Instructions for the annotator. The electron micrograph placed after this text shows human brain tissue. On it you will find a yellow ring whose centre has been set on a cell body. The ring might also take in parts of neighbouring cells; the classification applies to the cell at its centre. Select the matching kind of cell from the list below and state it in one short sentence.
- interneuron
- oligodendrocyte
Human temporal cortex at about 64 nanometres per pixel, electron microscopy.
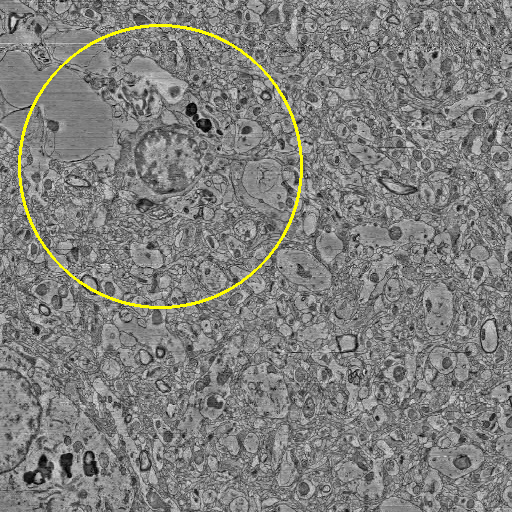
The ring is drawn on the cell body of an oligodendrocyte.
